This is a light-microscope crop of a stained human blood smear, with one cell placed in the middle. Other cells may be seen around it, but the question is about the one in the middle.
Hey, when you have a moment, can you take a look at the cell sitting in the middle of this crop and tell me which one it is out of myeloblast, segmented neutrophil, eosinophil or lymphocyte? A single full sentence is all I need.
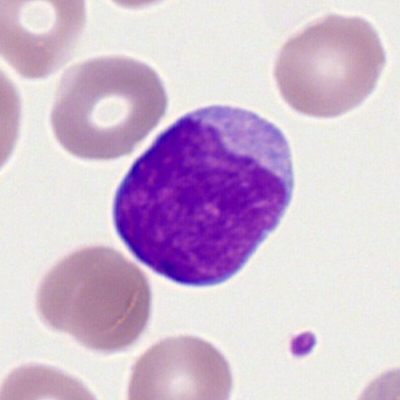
The identification for the central cell is a myeloblast.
